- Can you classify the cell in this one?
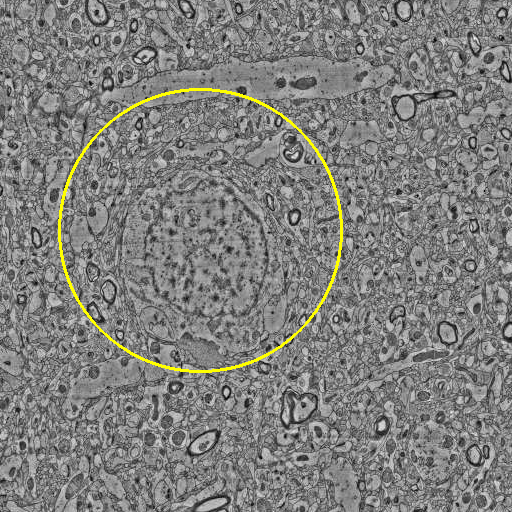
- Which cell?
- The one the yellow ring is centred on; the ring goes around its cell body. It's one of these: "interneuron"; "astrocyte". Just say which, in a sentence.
The cell body in the ring belongs to an interneuron.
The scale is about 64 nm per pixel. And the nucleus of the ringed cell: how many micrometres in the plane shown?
About 8 micrometers across, in this plane.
